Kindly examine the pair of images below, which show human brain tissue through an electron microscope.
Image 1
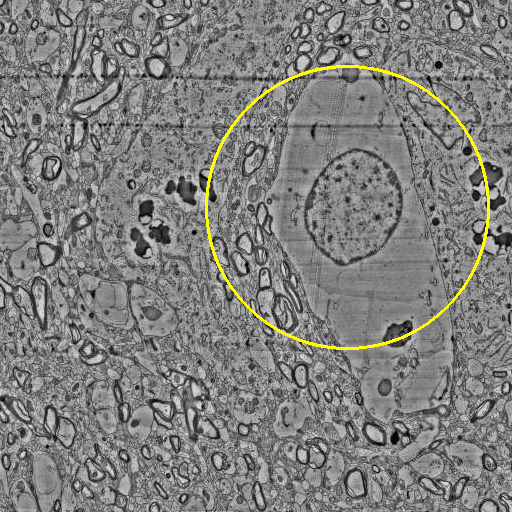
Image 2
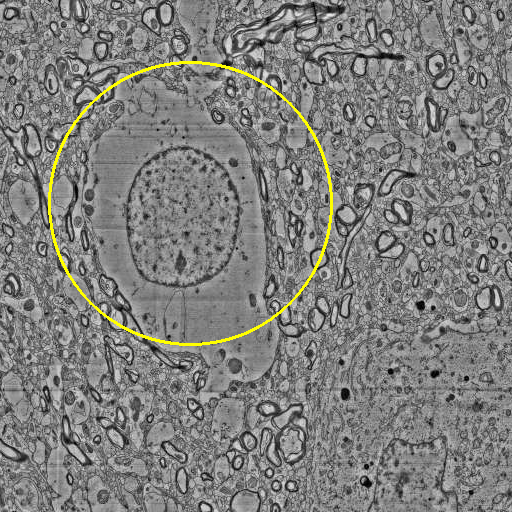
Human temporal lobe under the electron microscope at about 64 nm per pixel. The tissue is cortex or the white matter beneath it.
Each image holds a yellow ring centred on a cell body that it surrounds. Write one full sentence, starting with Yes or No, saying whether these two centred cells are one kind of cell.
Yes, both cells at the centres of the yellow rings belong to one kind of cell.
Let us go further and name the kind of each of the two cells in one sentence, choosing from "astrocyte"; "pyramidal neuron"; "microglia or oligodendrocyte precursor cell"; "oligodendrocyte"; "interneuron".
Both rings mark an astrocyte, one in each picture.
